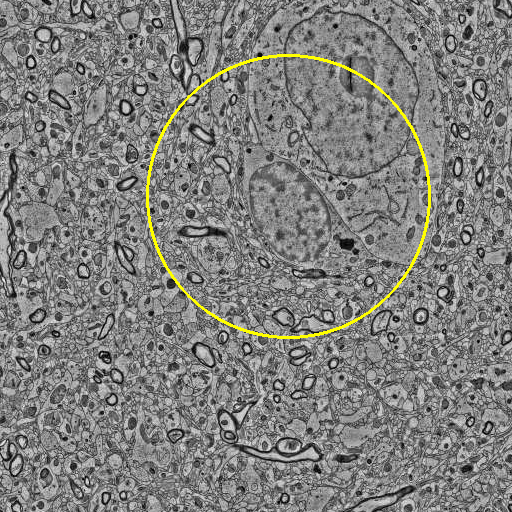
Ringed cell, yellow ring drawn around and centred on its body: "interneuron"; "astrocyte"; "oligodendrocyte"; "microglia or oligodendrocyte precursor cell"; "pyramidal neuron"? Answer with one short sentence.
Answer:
This ringed cell is an oligodendrocyte.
